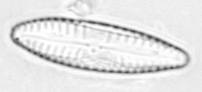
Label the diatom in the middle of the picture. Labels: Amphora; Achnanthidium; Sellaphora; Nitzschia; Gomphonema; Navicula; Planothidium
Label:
Gomphonema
